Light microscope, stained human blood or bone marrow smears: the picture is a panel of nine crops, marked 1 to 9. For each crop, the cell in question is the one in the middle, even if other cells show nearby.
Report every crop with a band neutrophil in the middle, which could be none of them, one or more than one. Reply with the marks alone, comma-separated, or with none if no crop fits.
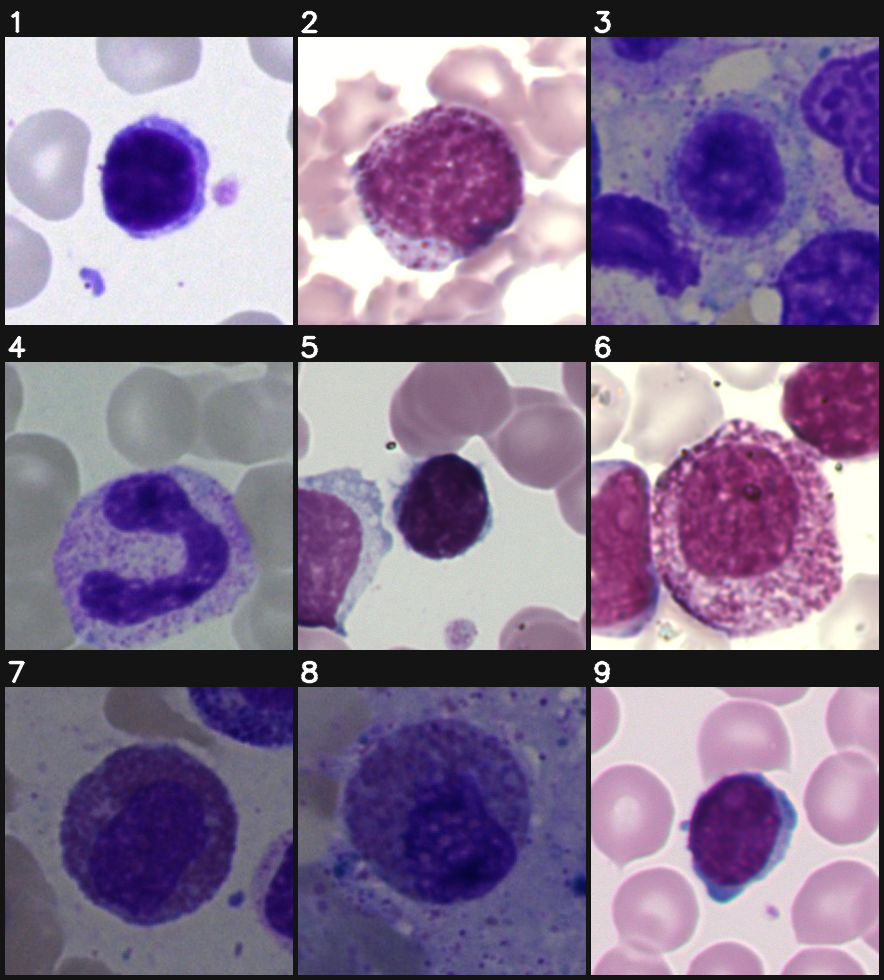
4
